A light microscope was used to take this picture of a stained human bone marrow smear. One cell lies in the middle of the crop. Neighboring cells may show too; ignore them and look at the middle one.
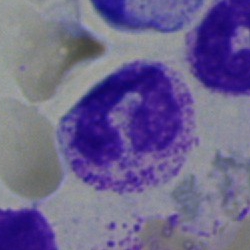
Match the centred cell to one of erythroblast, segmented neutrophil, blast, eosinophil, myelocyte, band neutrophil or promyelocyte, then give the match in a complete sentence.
In the centre of this crop there is a band neutrophil.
